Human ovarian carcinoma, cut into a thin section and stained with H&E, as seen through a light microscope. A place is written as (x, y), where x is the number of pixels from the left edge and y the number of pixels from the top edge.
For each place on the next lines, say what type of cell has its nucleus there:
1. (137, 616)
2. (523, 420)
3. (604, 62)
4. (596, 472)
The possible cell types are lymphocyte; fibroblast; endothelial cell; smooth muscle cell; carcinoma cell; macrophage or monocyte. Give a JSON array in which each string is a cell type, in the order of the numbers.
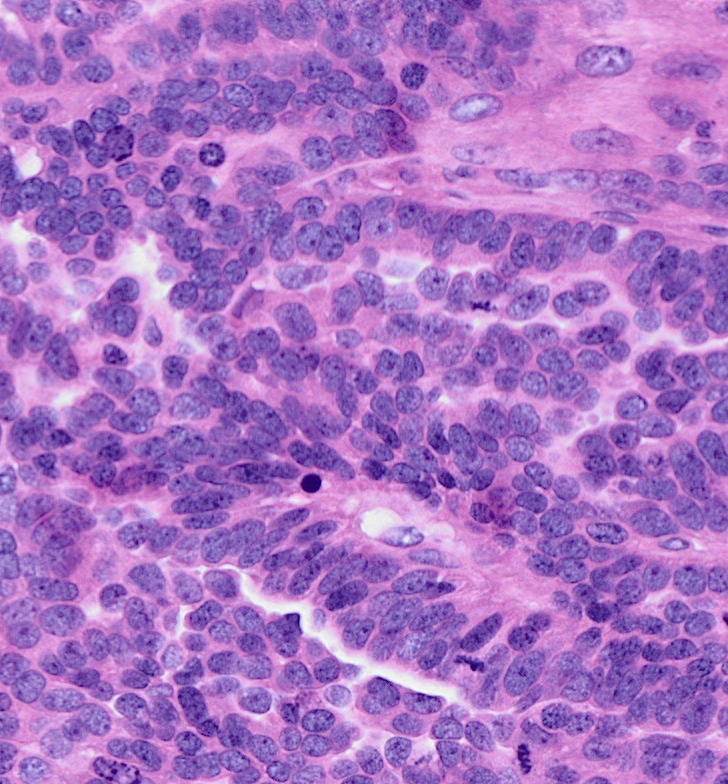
["carcinoma cell", "carcinoma cell", "fibroblast", "carcinoma cell"]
